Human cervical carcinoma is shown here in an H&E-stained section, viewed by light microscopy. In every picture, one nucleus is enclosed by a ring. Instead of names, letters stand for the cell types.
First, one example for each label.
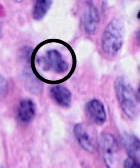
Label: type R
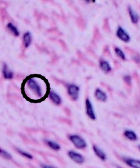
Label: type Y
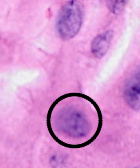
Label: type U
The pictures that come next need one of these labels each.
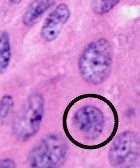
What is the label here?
type U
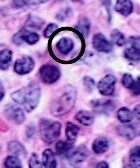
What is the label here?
type R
